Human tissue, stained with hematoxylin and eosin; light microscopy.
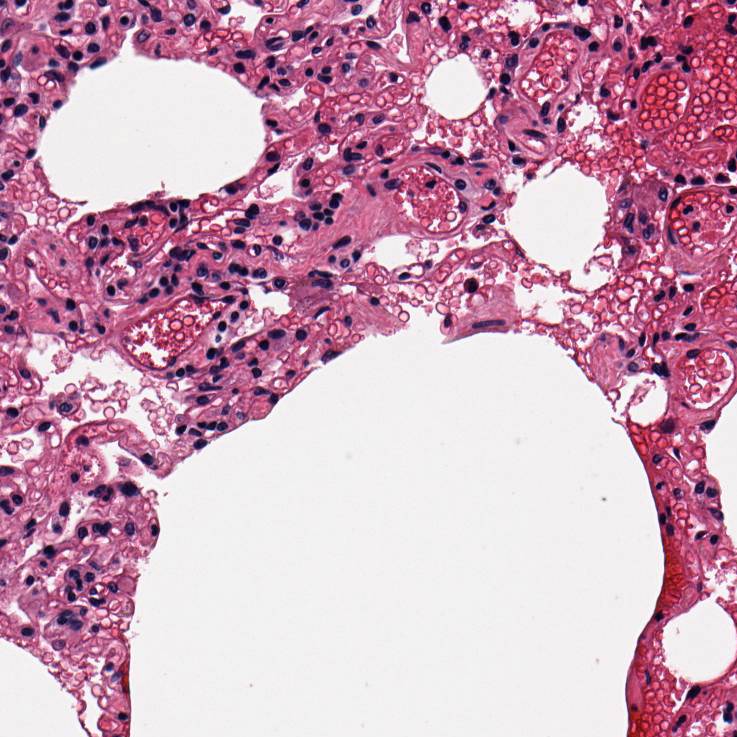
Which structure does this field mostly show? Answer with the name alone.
alveolus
